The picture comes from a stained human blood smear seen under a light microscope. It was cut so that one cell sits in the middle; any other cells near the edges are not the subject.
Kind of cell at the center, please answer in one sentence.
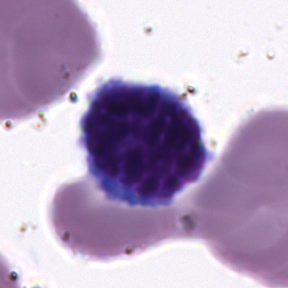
At the crop's centre, the cell is a plasma cell.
